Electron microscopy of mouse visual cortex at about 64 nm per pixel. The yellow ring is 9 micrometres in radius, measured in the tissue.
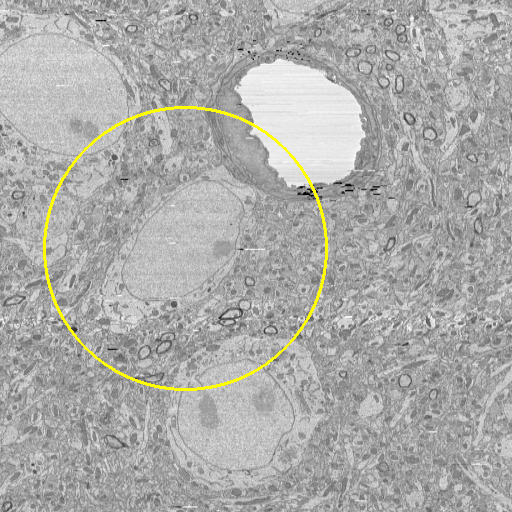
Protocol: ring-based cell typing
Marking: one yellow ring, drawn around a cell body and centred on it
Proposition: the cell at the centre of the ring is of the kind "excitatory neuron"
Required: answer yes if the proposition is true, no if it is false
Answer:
yes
